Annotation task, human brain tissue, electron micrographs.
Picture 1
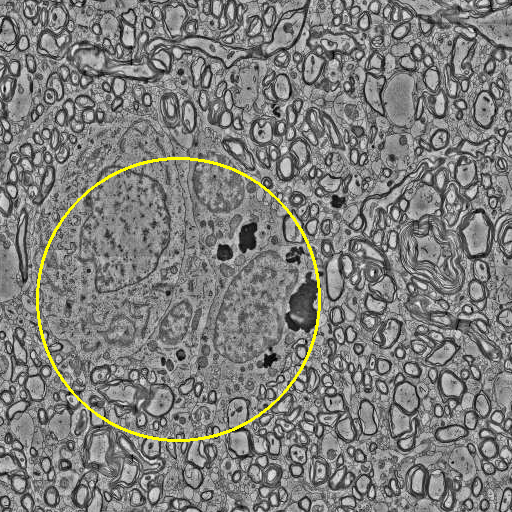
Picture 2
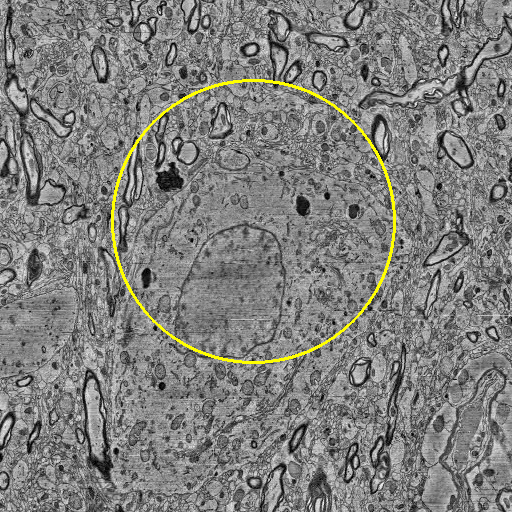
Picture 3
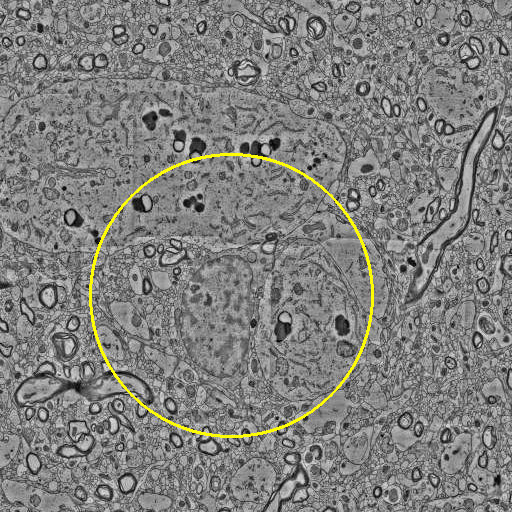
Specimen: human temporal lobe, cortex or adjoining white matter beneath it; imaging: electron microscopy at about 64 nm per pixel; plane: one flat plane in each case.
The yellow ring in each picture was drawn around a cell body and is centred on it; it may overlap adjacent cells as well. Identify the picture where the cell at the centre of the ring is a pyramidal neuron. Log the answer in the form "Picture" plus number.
Picture 2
